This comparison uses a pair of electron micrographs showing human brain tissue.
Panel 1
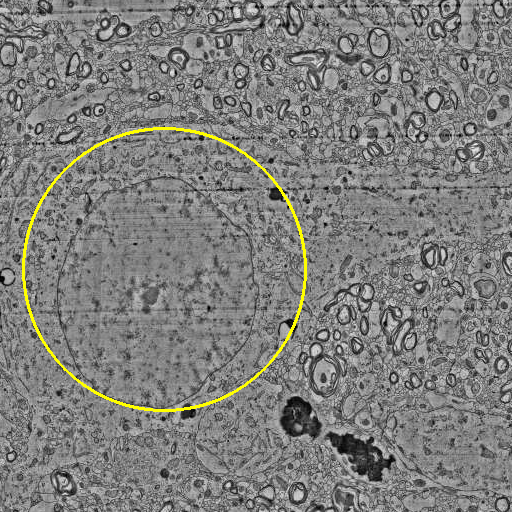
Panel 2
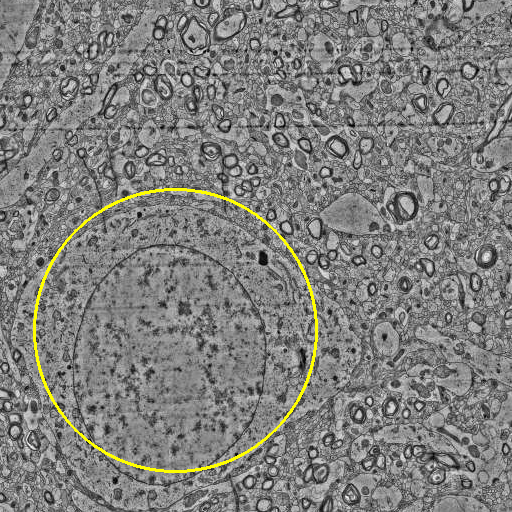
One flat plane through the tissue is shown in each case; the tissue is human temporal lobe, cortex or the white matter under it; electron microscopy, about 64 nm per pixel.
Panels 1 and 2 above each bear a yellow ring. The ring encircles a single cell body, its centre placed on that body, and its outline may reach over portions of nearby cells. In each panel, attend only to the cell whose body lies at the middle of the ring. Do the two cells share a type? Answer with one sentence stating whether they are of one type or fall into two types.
In Panel 1 and Panel 2, the cells at the centres of the rings are of one type.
